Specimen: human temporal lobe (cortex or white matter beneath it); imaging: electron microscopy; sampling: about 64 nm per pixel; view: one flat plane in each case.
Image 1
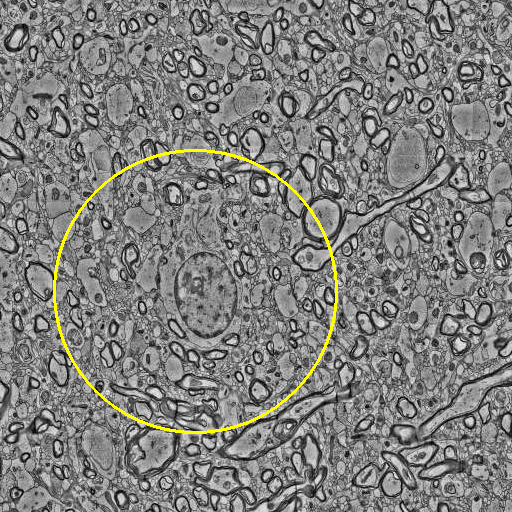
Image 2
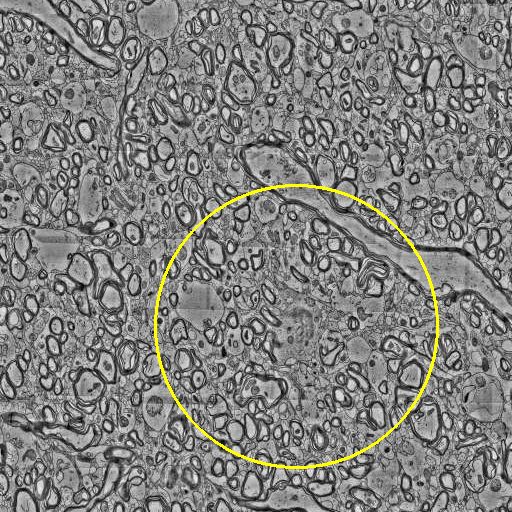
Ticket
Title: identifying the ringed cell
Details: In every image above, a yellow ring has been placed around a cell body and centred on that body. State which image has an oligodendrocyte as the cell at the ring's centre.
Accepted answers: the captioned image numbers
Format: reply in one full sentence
The ring in image 2 is centred on the cell in question.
